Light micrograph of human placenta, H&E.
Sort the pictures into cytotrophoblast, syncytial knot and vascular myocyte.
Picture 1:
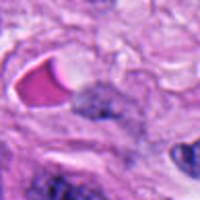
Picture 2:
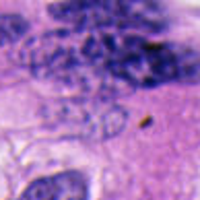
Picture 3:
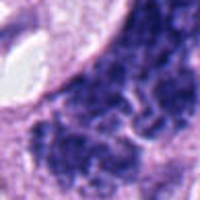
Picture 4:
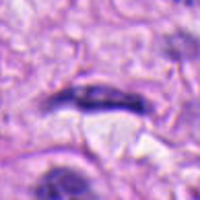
Cytotrophoblasts: 1, 2
Syncytial knots: 3
Vascular myocytes: 4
